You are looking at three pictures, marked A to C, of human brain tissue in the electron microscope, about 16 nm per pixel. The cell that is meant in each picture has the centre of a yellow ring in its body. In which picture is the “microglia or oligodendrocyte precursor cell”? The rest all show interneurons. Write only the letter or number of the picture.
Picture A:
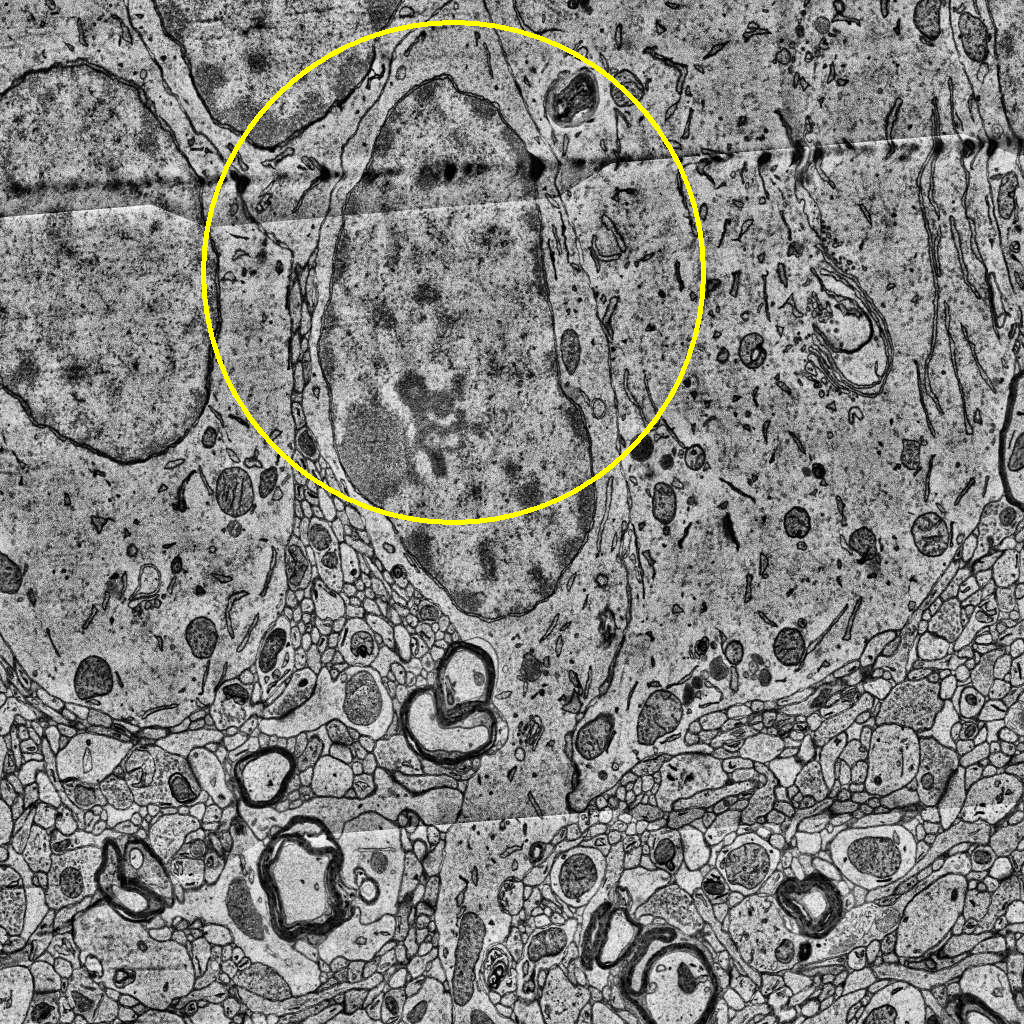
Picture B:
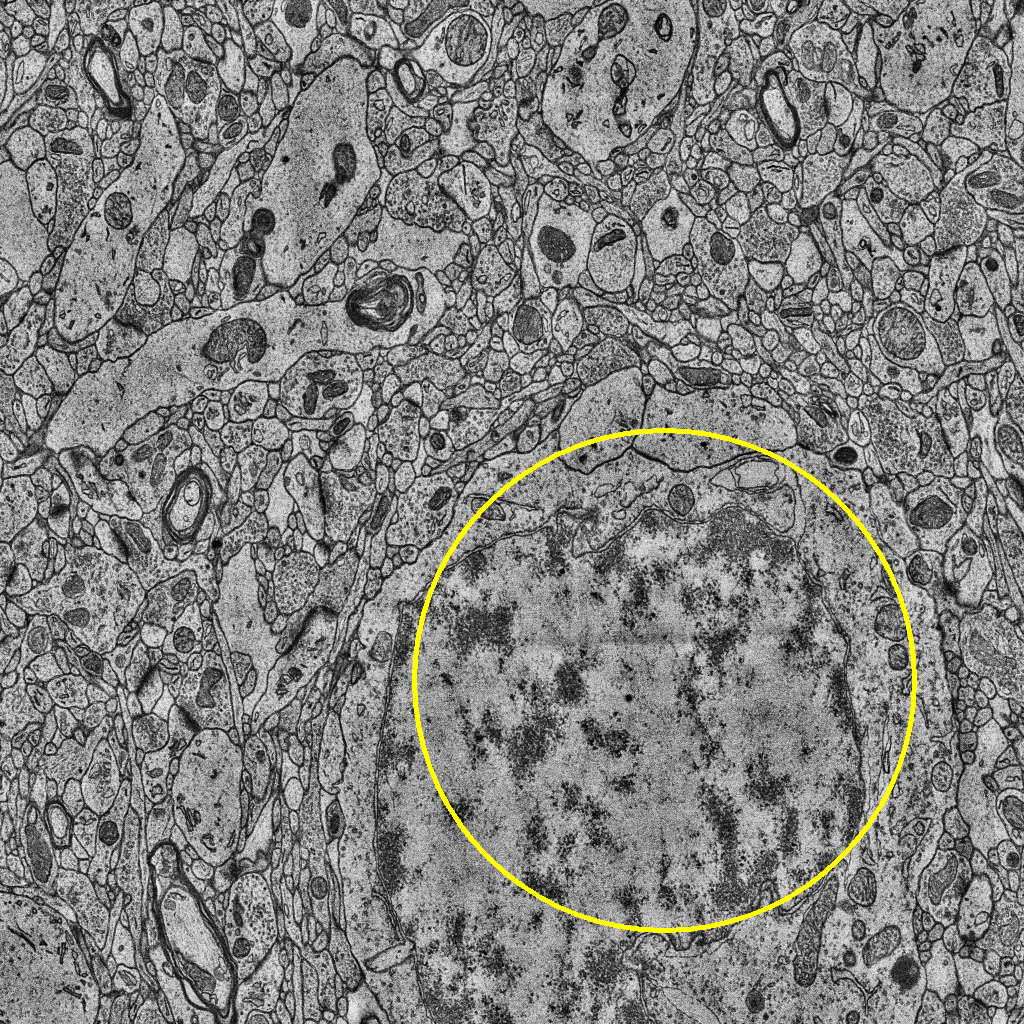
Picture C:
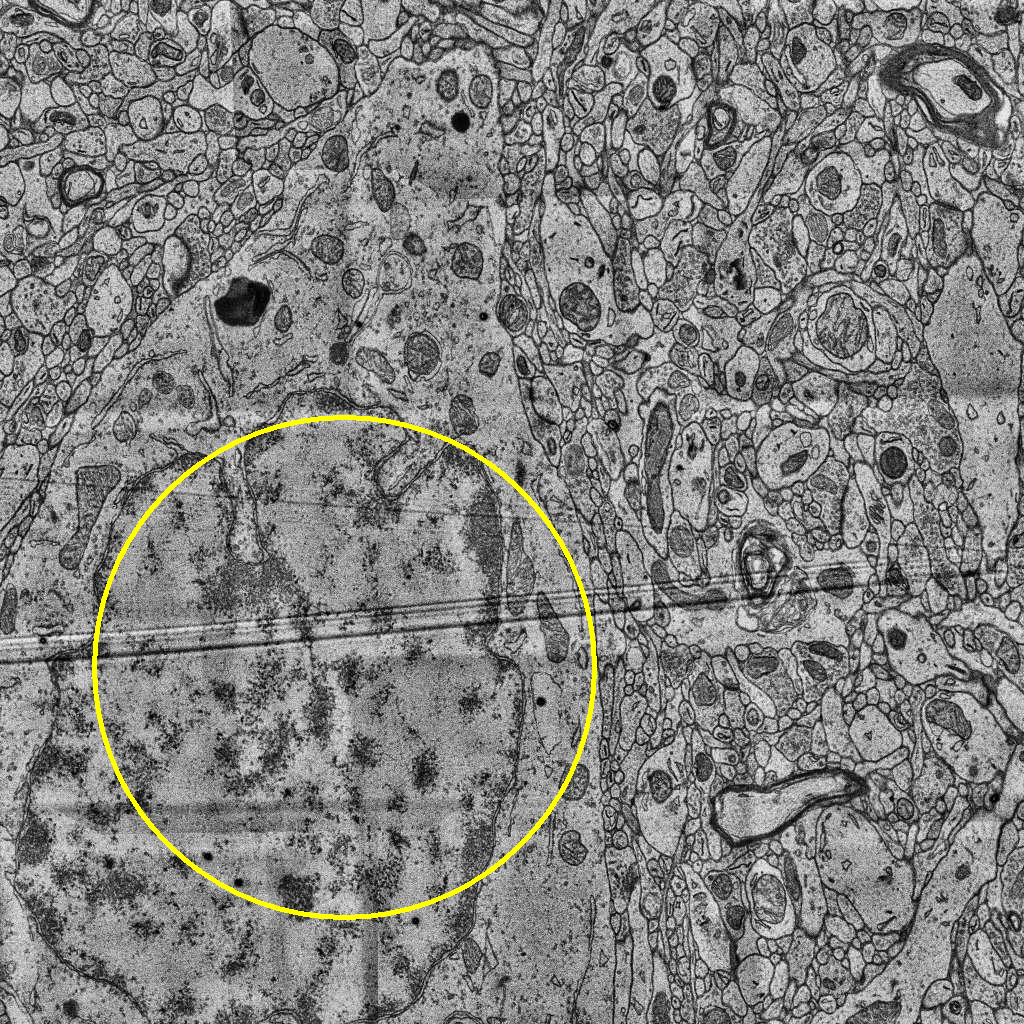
A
